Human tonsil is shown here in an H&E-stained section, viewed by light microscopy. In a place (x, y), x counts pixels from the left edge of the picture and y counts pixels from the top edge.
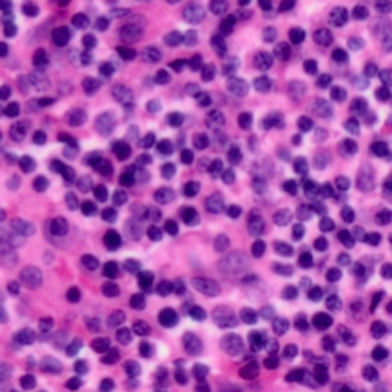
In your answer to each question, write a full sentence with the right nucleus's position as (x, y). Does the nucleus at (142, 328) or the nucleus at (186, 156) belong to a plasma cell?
The nucleus of a plasma cell lies at (142, 328), not at the other position.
